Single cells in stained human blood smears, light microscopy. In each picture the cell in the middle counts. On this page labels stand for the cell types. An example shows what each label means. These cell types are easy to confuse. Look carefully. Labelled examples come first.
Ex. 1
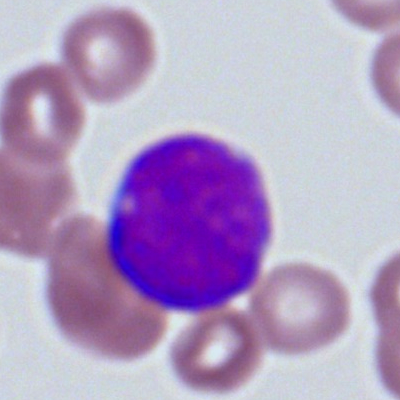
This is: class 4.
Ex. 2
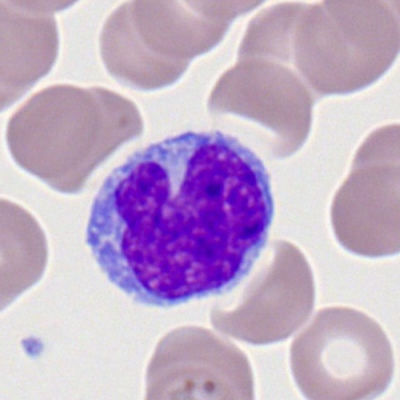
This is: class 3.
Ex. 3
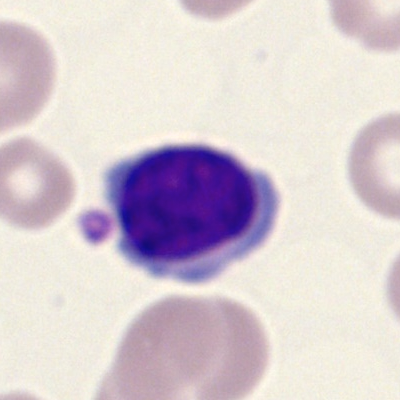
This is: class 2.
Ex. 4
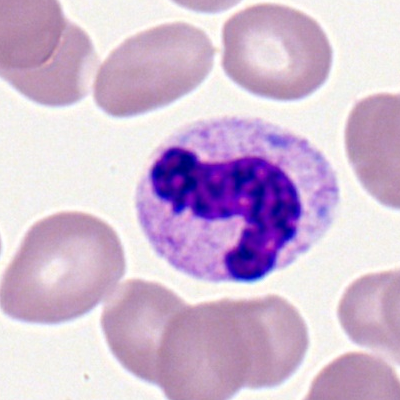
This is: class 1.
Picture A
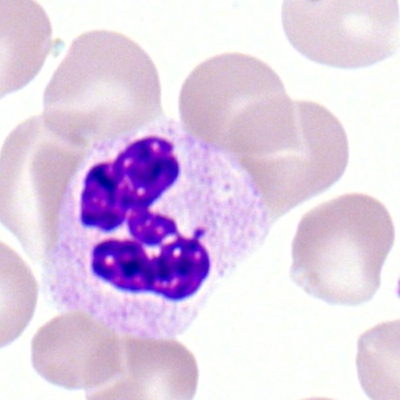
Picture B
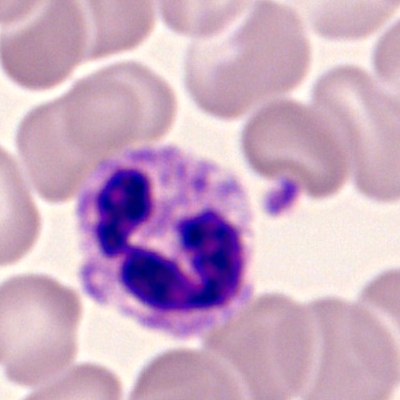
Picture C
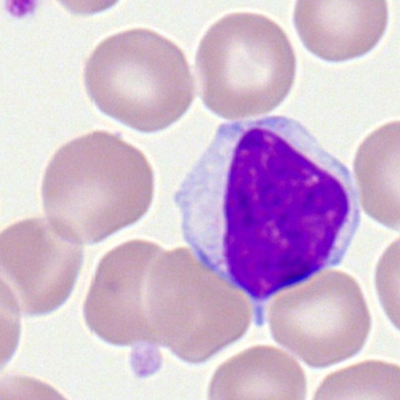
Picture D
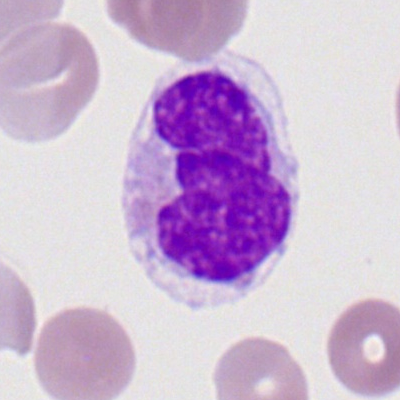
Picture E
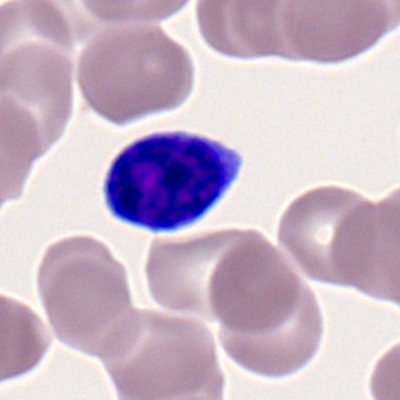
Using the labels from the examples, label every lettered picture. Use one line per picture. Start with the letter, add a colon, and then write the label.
A: class 1.
B: class 1.
C: class 2.
D: class 3.
E: class 2.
